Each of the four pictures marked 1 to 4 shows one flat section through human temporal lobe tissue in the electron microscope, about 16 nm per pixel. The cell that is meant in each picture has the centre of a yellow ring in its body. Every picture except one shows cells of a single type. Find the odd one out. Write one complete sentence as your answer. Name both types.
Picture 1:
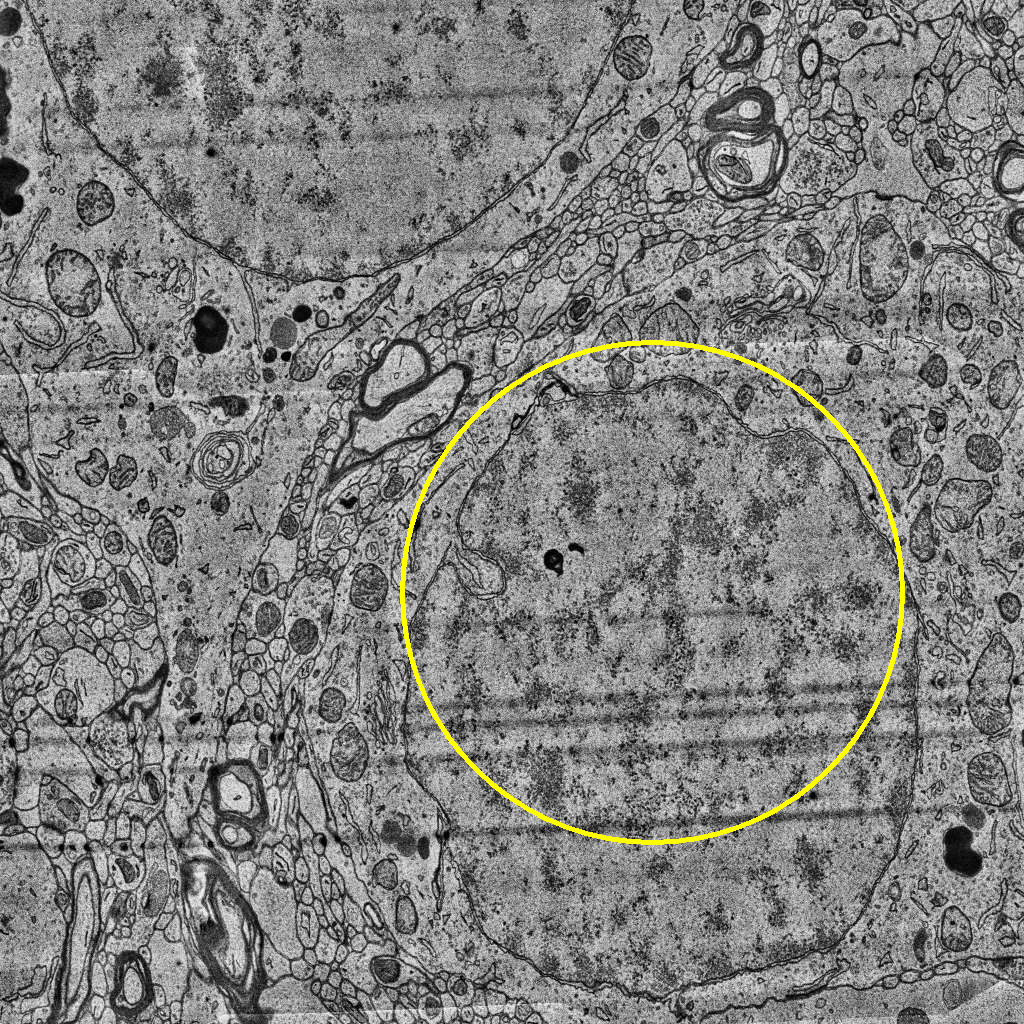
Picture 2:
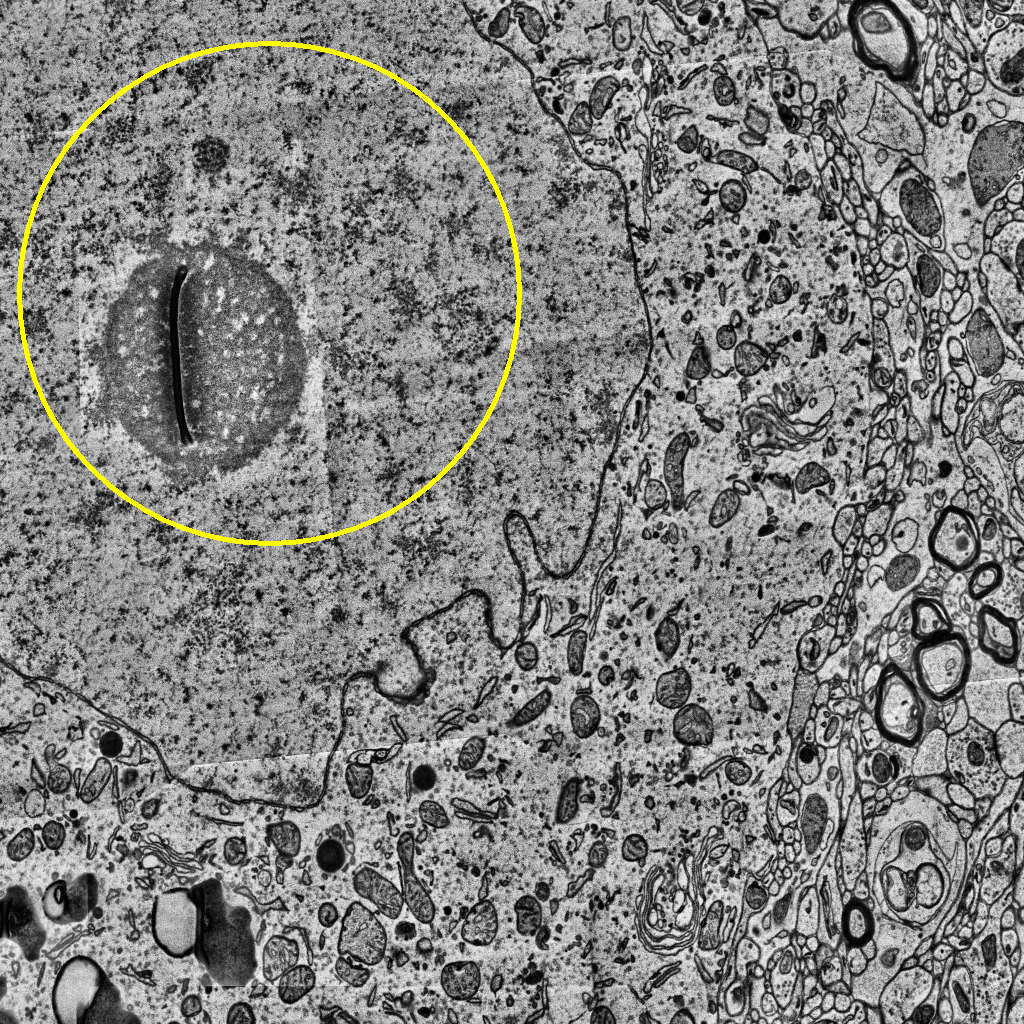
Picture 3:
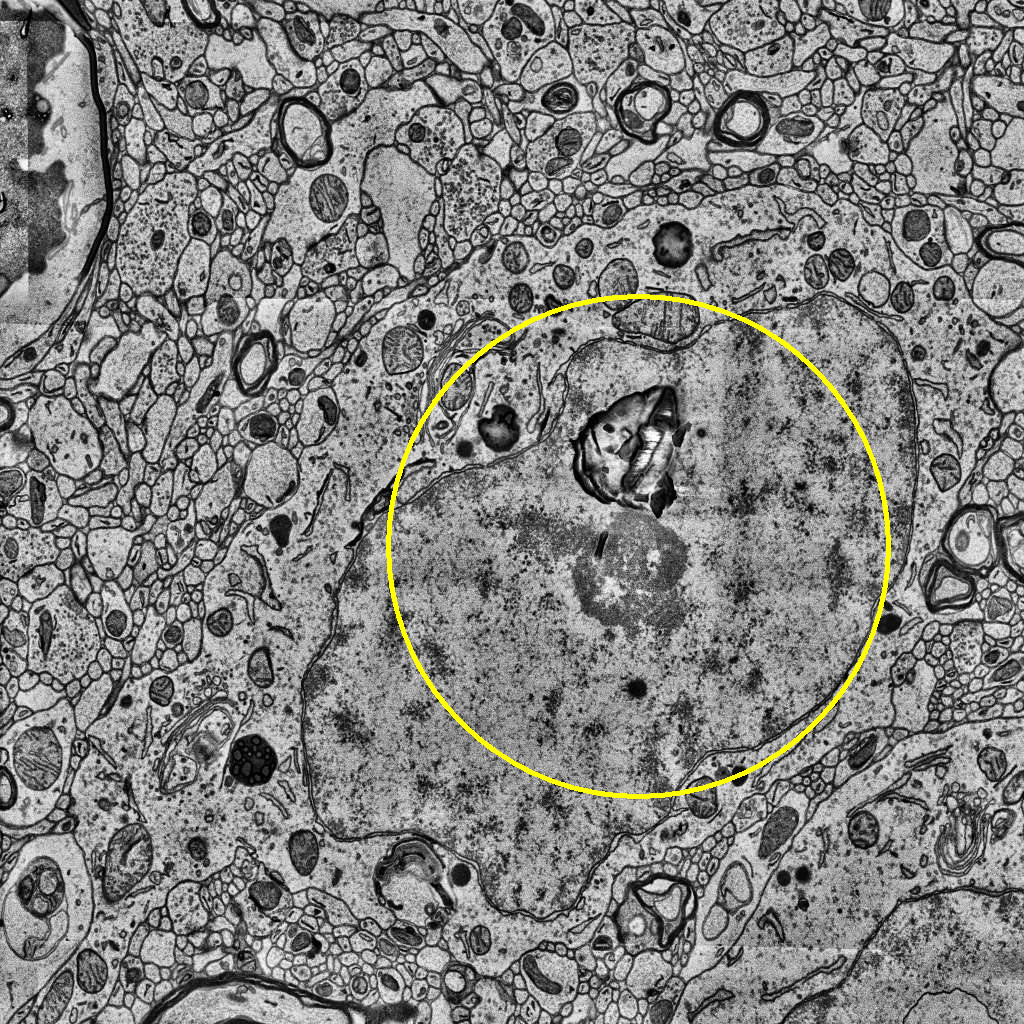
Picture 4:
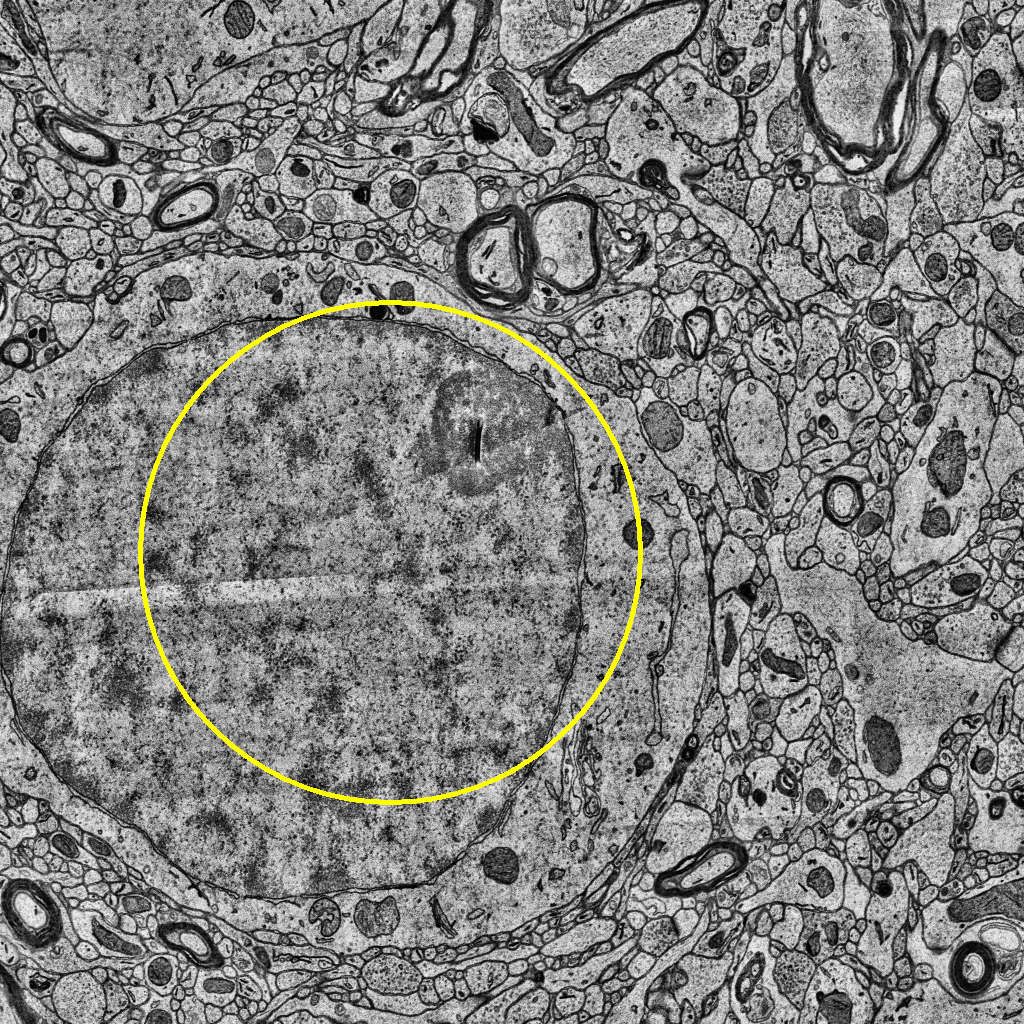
All pictures except 2 show interneurons; picture 2 shows a pyramidal neuron.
